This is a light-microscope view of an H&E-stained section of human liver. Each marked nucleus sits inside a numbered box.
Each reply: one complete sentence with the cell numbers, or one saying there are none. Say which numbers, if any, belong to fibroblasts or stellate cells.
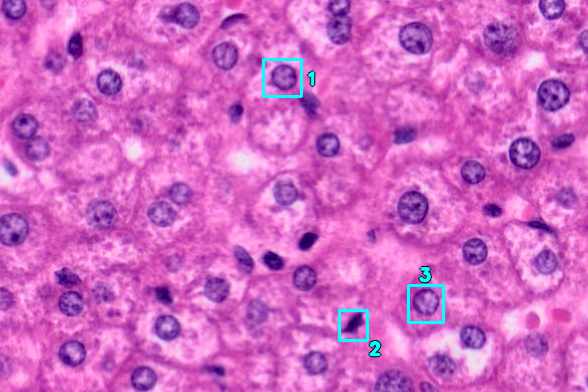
Cell 2 alone, of all the numbered cells, is a fibroblast or stellate cell.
